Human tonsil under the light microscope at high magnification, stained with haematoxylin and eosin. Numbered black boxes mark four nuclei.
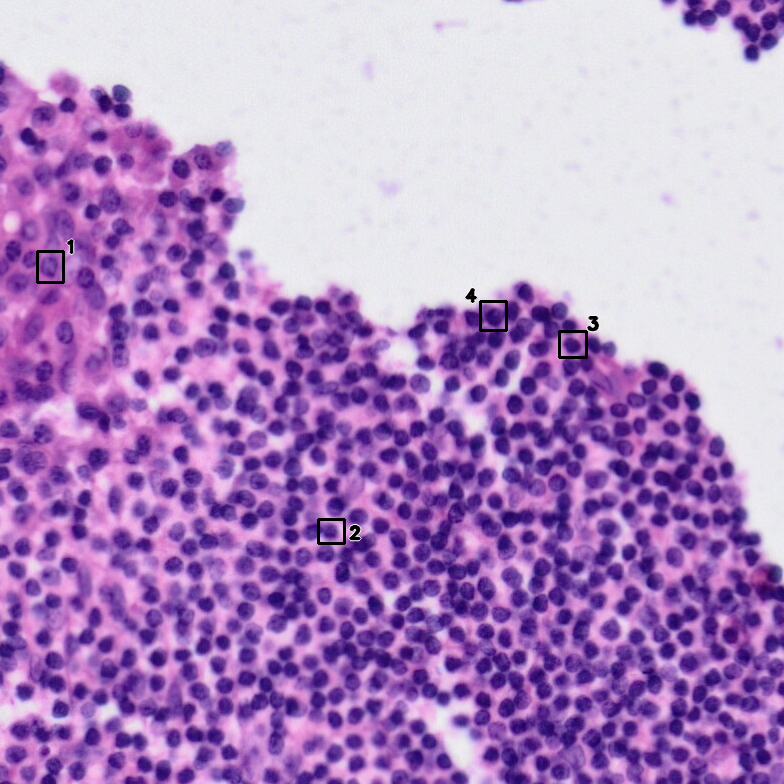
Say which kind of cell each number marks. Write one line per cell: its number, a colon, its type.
1: plasma cell
2: small lymphocyte
3: small lymphocyte
4: small lymphocyte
